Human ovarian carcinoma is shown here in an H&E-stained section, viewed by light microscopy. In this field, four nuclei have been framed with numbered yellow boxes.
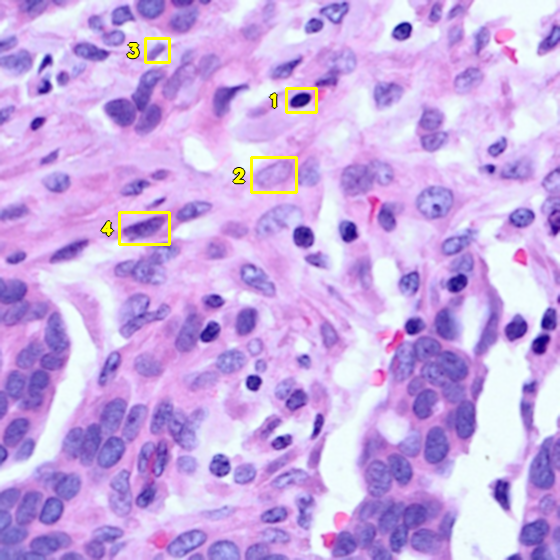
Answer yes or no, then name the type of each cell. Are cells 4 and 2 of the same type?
Yes, both are fibroblasts.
